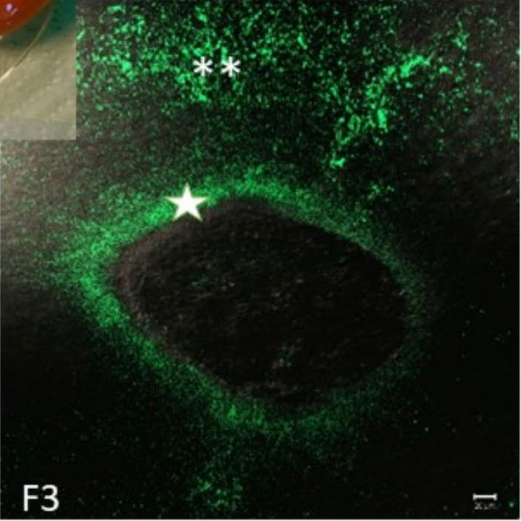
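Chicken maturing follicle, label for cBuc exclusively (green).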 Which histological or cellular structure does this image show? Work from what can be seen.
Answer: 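A large dark oval body lies in the centre of the panel. A dense rim of green label surrounds the dark body. The interior of the dark body is largely free of label.
Germinal vesicle.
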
